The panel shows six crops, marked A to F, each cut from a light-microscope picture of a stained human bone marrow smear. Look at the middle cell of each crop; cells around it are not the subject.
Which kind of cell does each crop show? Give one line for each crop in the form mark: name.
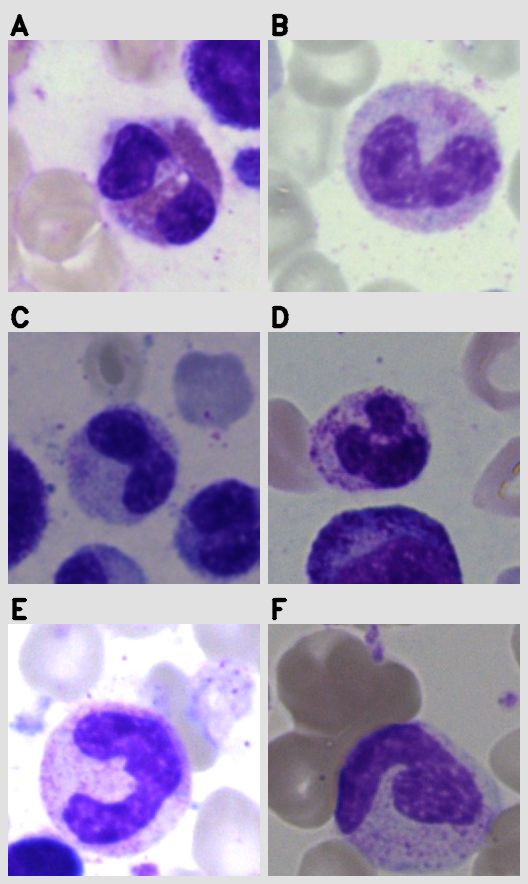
A: eosinophil
B: band neutrophil
C: band neutrophil
D: segmented neutrophil
E: segmented neutrophil
F: band neutrophil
